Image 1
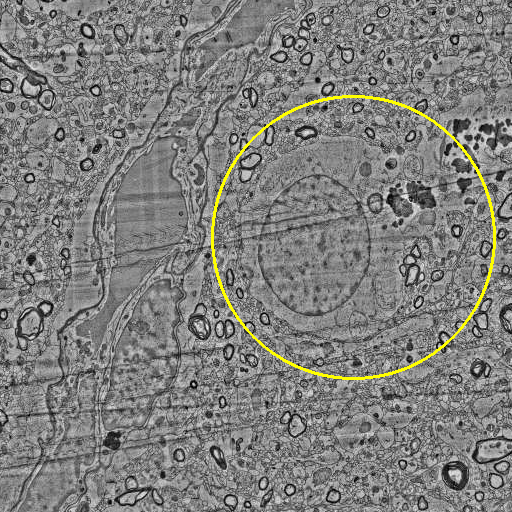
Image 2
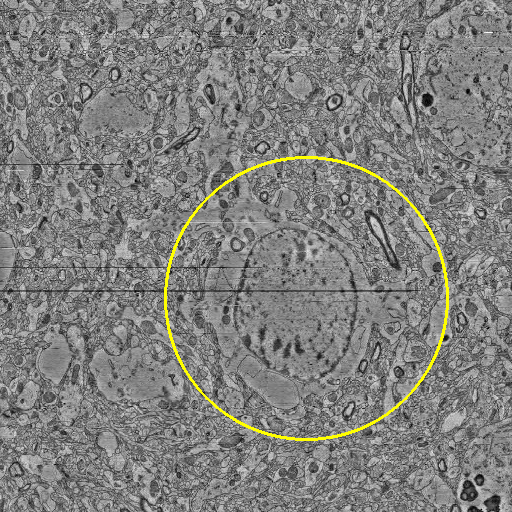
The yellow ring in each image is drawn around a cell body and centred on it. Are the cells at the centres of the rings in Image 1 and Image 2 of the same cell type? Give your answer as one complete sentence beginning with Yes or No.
Yes, both cells are of the same type.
